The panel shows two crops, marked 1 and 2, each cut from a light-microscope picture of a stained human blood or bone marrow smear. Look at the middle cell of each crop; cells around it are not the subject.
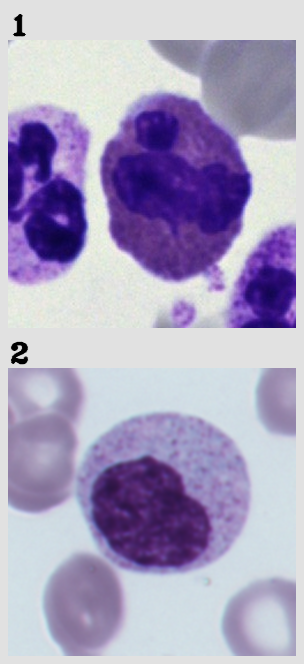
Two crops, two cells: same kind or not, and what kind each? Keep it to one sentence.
No, a metamyelocyte is in crop 2, and an eosinophil is in crop 1.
